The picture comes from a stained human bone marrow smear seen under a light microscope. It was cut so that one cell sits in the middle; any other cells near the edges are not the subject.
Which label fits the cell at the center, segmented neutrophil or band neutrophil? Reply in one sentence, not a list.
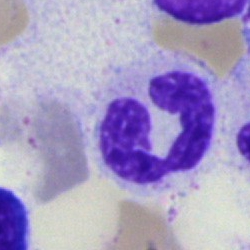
The centrally located cell in the crop is a segmented neutrophil.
